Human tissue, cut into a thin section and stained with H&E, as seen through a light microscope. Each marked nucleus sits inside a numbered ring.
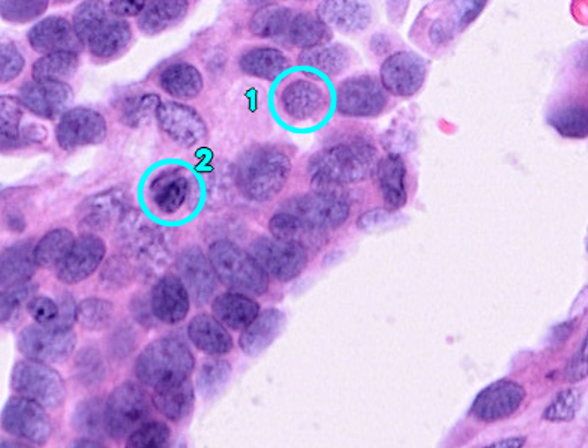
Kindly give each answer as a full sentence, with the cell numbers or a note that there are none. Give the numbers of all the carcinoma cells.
Cell number 1 alone is a carcinoma cell; the rest are not.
